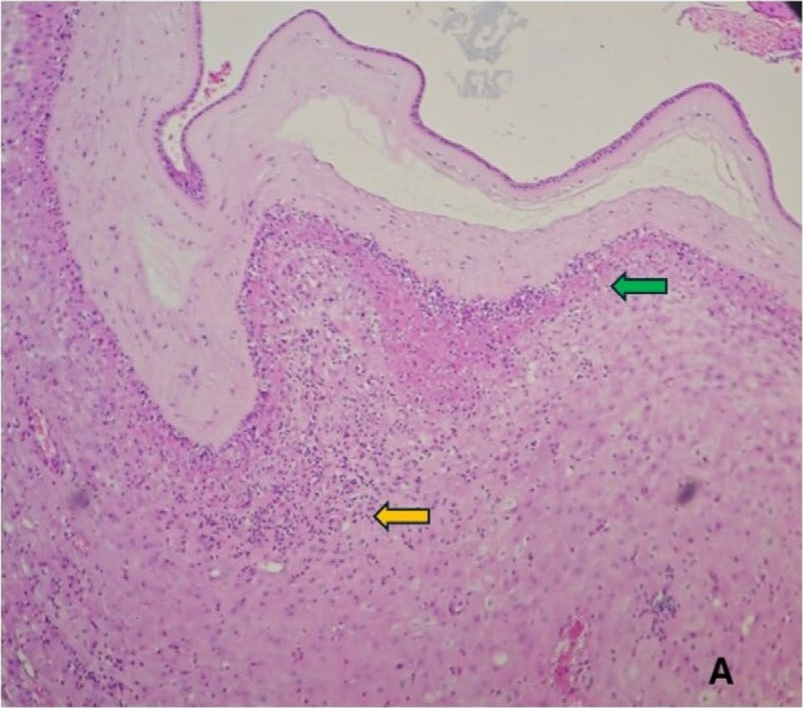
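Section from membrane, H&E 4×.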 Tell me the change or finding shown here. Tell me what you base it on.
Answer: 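A dense band of inflammatory cells lies within the cellular layer beneath the membranes. The cellular layer with many polygonal cells lies deep to the thin fibrous layers.
Deciduitis.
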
